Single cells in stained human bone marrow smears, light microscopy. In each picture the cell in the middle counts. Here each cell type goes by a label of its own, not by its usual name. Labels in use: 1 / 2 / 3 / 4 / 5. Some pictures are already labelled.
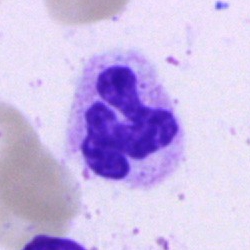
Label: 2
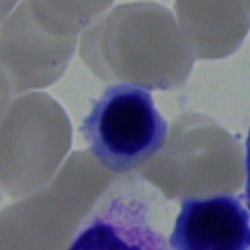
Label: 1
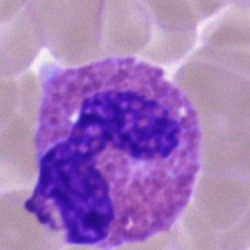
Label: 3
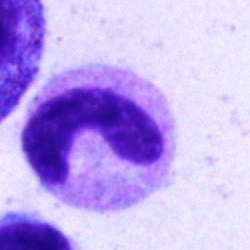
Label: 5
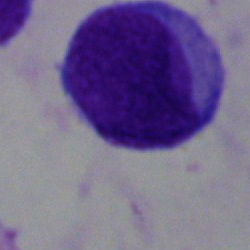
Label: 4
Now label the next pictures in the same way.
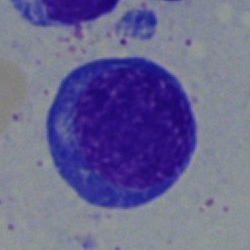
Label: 1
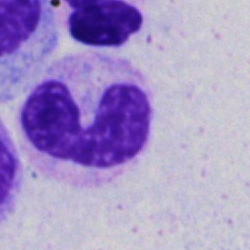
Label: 5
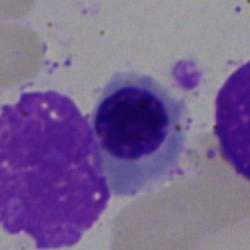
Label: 1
